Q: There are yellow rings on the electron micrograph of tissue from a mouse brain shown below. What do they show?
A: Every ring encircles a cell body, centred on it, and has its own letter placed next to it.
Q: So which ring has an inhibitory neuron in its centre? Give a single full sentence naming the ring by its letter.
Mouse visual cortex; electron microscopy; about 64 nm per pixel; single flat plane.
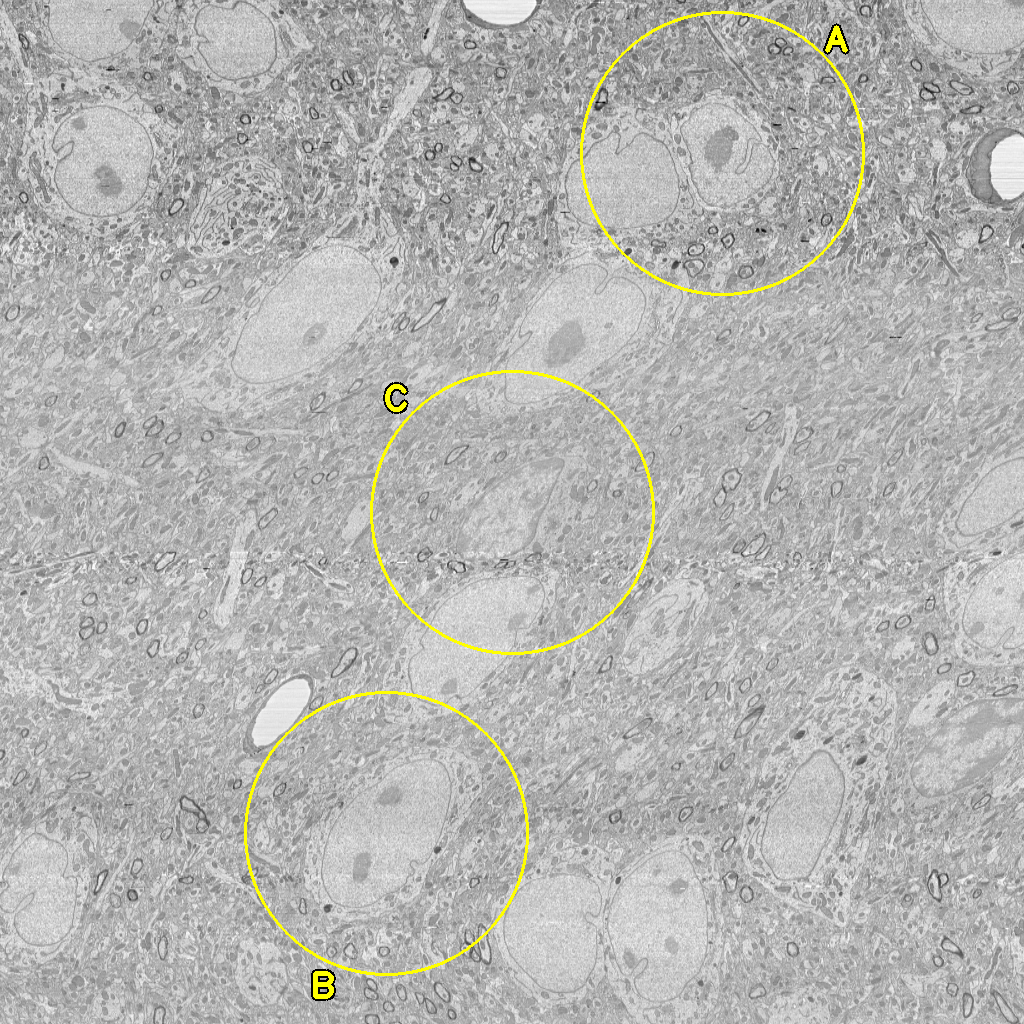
Ring A has the cell asked for at its centre in the picture.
